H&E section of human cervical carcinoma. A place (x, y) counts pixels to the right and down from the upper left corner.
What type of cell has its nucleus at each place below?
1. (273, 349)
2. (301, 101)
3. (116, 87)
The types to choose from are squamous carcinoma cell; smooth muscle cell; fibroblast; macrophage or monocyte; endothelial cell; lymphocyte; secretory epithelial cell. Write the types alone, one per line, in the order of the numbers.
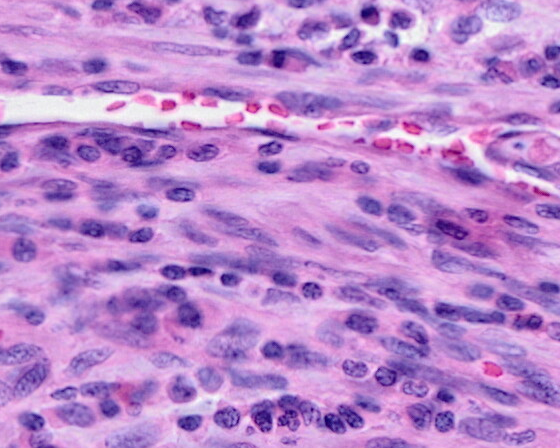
lymphocyte
endothelial cell
endothelial cell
